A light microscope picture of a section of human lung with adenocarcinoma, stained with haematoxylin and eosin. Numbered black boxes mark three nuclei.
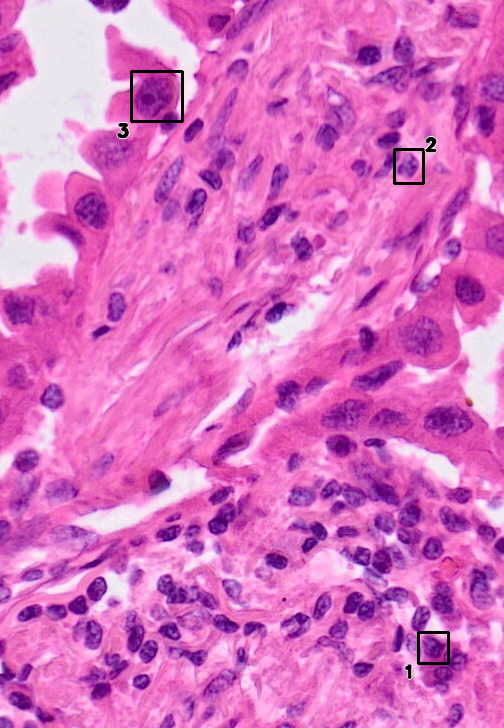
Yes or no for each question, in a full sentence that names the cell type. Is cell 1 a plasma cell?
Yes, it is a plasma cell that carries the number 1.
